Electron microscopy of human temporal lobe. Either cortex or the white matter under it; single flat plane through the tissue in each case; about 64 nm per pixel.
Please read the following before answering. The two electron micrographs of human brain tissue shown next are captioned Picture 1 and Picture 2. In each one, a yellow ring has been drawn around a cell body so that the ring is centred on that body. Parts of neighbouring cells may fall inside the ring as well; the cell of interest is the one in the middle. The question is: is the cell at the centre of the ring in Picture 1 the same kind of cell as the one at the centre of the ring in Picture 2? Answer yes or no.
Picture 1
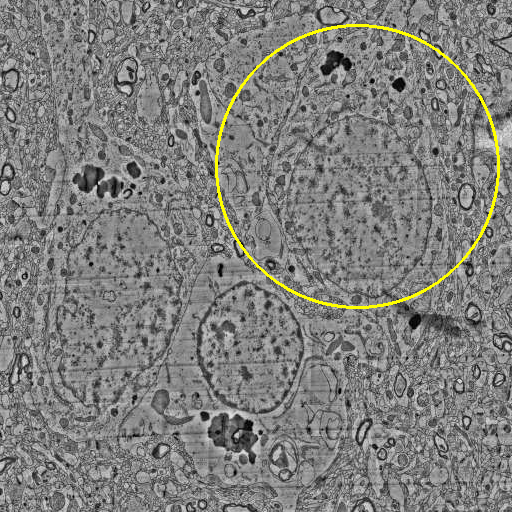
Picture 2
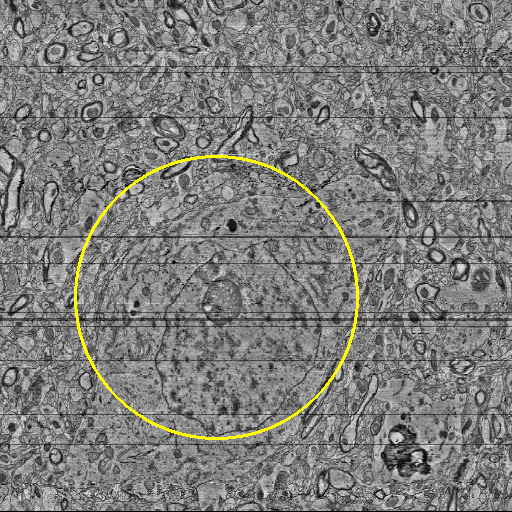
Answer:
no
